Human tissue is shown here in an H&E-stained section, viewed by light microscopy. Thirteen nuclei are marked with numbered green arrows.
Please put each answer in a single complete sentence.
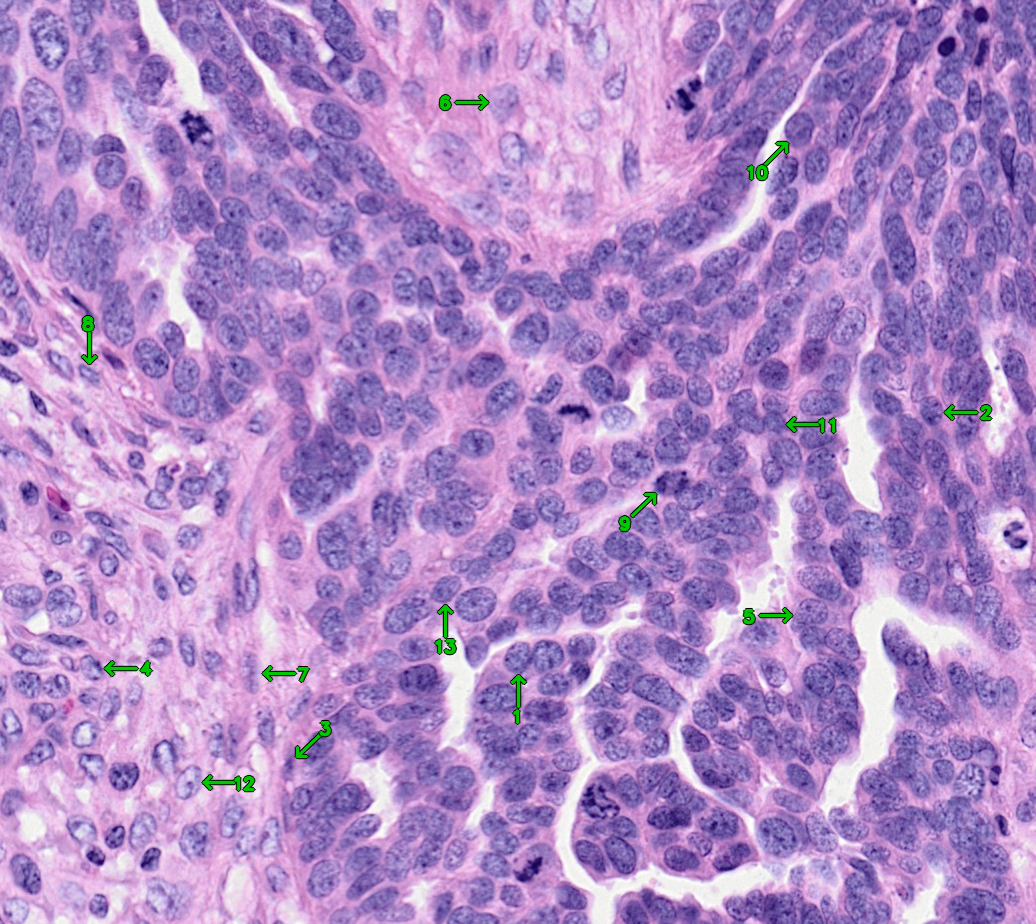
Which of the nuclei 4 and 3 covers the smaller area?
The smaller nucleus is 3, and 4 covers roughly 1.5 times its area.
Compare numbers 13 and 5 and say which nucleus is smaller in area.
Number 13 is smaller, since number 5 takes up about 1.5 times as much area.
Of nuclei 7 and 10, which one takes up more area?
It is nucleus 10, which covers about 1.5 times the area of nucleus 7.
